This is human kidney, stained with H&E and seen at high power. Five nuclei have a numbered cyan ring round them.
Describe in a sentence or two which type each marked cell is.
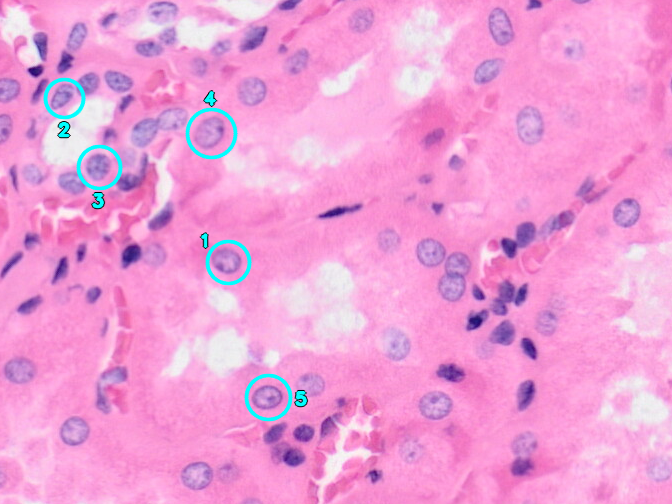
Cell 1 is a proximal tubule cell, cell 2 is a collecting duct cell, cell 3 is a collecting duct cell, cell 4 is a proximal tubule cell and cell 5 is a proximal tubule cell.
